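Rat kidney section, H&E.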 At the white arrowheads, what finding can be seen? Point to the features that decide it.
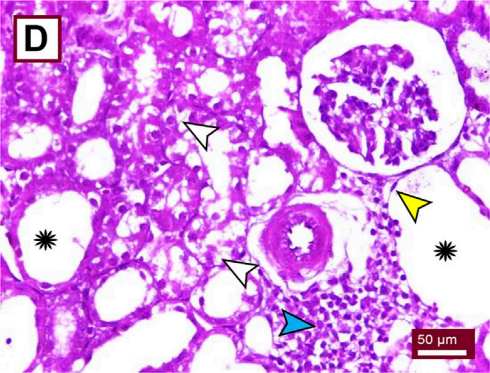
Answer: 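The tubular cells at the arrowheads are filled with clear vacuoles. These cells look pale and bubbly. So: vacuolated cytoplasm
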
